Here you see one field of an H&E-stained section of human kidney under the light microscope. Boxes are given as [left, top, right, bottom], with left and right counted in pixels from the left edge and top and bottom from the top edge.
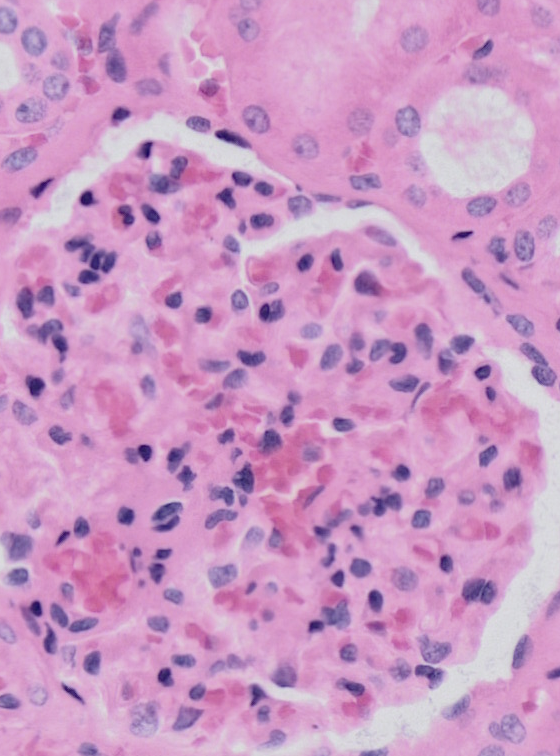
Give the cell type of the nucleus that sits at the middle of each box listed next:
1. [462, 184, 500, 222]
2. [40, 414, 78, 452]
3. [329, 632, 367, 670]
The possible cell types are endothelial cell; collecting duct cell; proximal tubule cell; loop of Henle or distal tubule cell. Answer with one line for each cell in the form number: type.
1: loop of Henle or distal tubule cell
2: endothelial cell
3: endothelial cell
